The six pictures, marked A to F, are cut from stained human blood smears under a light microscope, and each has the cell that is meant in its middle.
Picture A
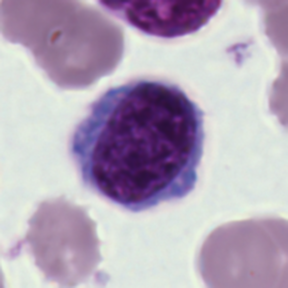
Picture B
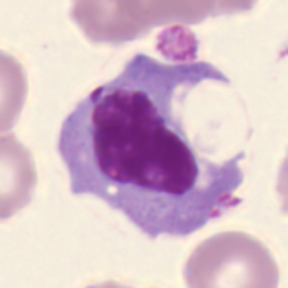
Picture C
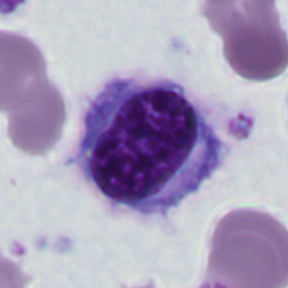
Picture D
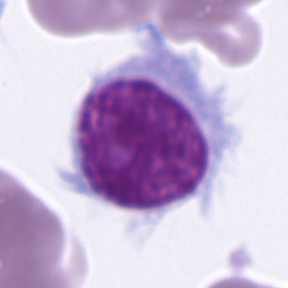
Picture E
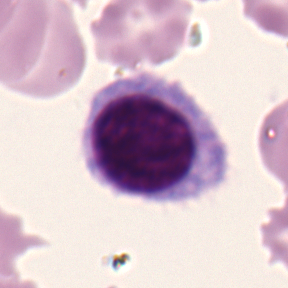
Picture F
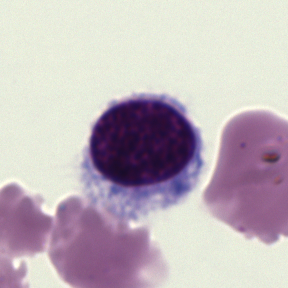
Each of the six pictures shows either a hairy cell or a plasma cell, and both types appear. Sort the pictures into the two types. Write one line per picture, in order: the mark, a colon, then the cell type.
A: plasma cell
B: plasma cell
C: plasma cell
D: hairy cell
E: hairy cell
F: hairy cell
